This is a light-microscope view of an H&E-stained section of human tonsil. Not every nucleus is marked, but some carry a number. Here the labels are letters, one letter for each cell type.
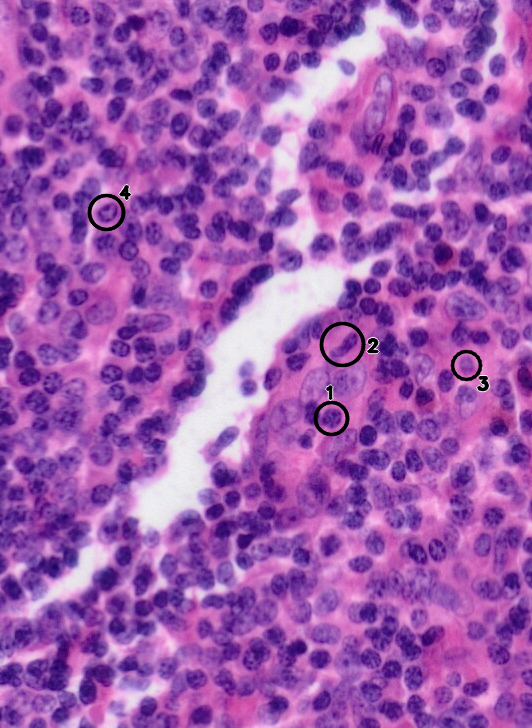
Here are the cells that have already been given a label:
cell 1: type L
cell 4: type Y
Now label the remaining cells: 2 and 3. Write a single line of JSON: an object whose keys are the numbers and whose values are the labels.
{"2": "type L", "3": "type L"}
